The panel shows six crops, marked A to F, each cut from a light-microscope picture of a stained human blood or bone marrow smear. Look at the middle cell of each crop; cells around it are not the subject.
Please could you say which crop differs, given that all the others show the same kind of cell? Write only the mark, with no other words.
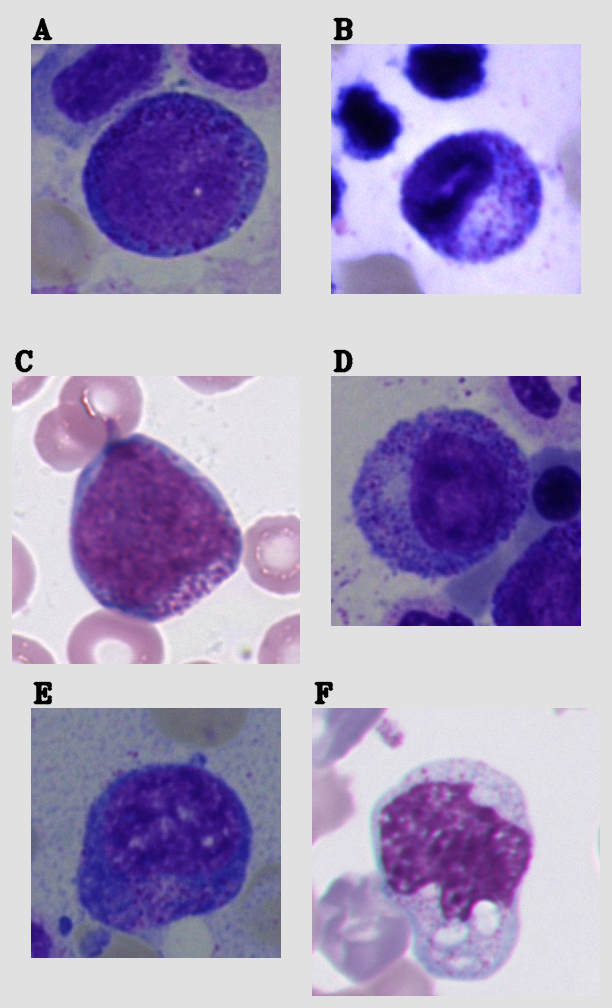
F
